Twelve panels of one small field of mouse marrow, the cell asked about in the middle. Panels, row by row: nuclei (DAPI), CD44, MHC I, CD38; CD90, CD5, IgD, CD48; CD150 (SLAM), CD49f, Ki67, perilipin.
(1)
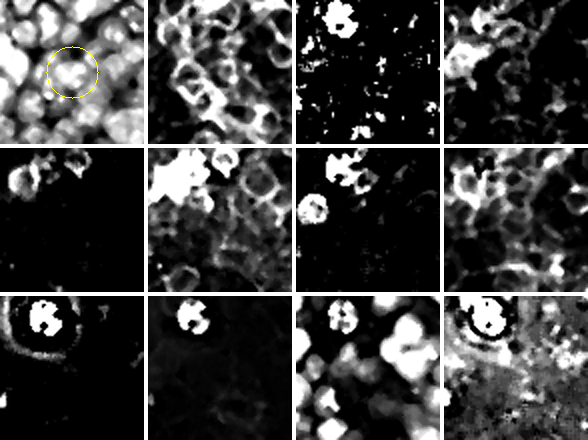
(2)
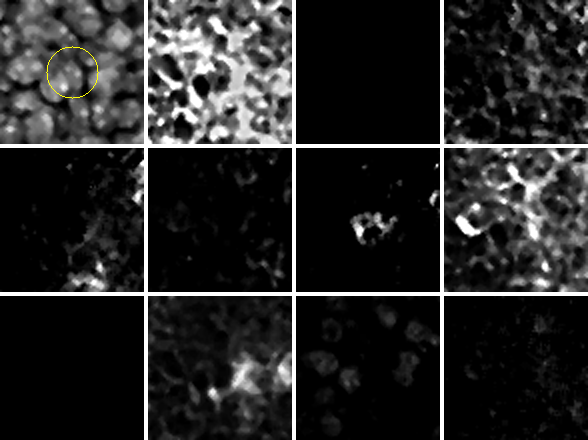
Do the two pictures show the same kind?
No: a B cell, then a neutrophil.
